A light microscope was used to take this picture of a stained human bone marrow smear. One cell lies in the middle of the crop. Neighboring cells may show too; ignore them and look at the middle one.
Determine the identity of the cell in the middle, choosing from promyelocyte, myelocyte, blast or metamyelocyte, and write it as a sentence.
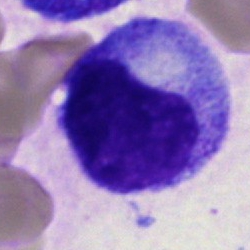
By type, the central cell of the crop is a metamyelocyte.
